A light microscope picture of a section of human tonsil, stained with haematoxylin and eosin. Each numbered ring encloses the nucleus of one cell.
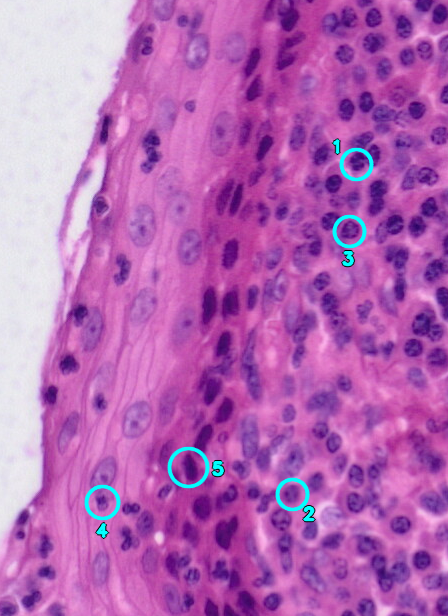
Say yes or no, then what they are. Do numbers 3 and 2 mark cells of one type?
Yes, regarding cells 3 and 2, both are plasma cells.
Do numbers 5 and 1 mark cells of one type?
No, in contrast to cell 1, which is a plasma cell, cell 5 is a squamous epithelial cell.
